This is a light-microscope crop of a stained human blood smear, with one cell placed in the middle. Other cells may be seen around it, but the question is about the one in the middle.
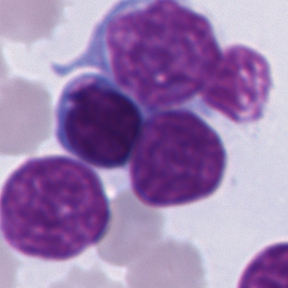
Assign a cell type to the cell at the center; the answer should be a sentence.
The cell under consideration, at the middle of the crop, is a blast.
